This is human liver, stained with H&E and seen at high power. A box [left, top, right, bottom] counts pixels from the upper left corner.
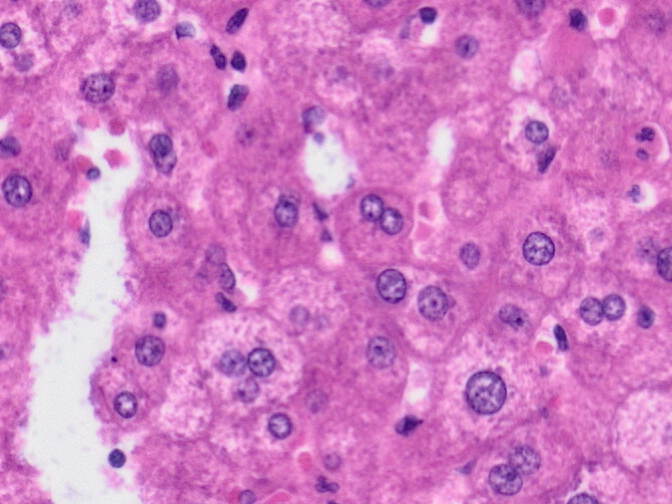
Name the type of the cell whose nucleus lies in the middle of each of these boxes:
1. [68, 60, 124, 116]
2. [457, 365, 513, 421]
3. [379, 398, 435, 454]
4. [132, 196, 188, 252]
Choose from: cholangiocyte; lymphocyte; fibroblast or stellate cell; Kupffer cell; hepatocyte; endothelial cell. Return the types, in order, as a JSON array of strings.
["hepatocyte", "hepatocyte", "endothelial cell", "hepatocyte"]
